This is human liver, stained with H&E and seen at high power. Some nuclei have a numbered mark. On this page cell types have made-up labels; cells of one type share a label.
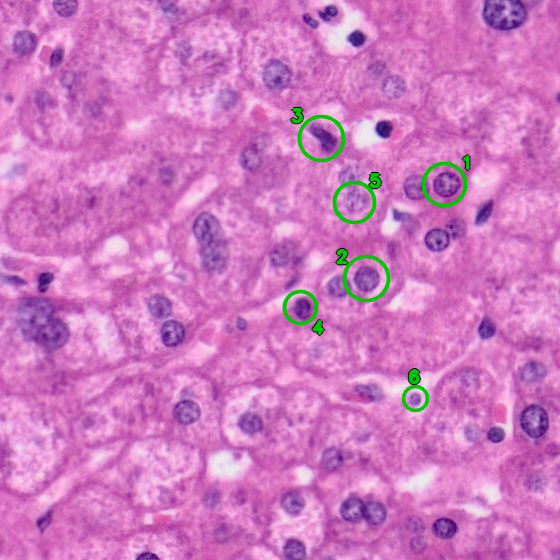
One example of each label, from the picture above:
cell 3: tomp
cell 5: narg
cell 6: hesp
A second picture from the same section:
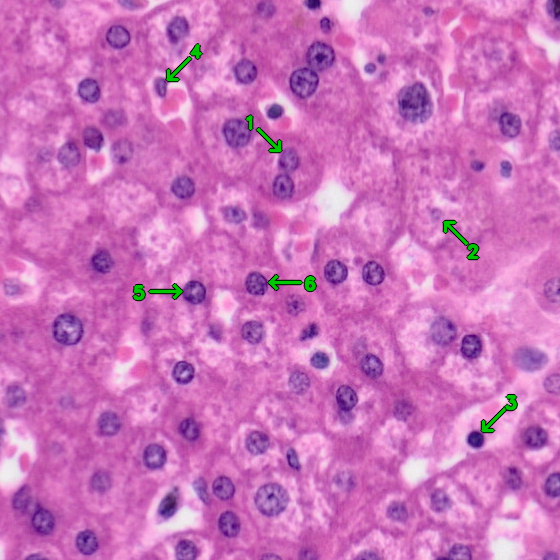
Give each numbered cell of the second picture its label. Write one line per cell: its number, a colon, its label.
1: narg
2: narg
3: hesp
4: tomp
5: narg
6: narg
